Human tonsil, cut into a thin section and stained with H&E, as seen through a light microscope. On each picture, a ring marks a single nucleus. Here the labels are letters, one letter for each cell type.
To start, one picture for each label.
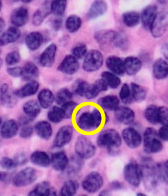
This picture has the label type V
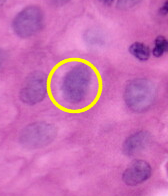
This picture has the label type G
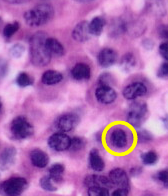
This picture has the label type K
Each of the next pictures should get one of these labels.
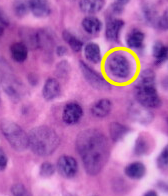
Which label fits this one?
type K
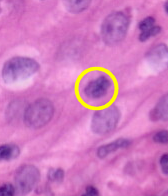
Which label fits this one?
type G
